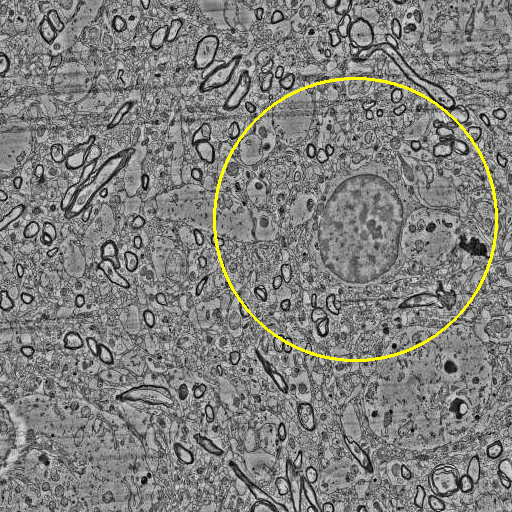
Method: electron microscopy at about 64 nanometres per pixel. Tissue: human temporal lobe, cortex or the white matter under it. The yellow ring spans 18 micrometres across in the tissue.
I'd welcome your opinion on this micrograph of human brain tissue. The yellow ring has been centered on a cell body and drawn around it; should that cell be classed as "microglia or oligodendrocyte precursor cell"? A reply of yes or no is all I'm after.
no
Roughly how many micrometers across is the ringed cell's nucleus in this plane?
The nucleus has a long axis of about 7 micrometres and a short axis of about 6 micrometres in this plane.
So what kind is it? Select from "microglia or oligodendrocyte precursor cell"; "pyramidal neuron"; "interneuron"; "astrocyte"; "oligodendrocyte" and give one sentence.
The ringed cell in this picture is, instead, an oligodendrocyte.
